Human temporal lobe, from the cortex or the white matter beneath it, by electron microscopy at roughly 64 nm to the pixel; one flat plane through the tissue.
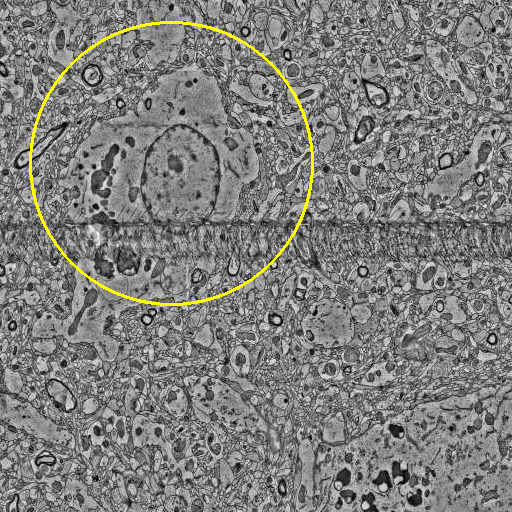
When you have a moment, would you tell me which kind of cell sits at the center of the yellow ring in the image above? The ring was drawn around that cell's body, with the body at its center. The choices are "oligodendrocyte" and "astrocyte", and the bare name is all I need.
astrocyte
